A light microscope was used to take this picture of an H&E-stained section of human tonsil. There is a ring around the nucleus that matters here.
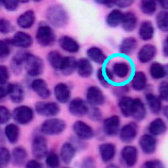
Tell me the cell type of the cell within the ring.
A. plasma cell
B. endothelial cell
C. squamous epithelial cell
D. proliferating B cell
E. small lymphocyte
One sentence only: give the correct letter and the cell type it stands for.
Option E describes the cell within the ring accurately as a small lymphocyte.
